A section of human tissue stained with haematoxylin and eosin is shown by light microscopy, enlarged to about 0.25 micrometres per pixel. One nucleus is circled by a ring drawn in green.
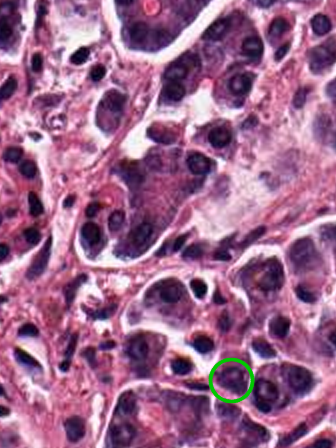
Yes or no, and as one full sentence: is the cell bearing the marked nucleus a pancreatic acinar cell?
Yes, the nucleus indicated by the marking belongs to a pancreatic acinar cell.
